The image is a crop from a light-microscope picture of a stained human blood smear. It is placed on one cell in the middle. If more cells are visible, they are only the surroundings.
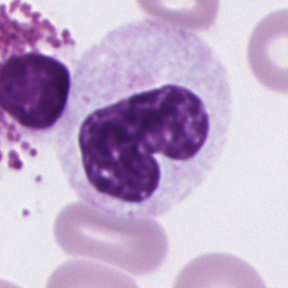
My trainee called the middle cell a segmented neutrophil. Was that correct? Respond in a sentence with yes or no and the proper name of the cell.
No, the cell sitting in the middle is a band neutrophil, and it is not a segmented neutrophil.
